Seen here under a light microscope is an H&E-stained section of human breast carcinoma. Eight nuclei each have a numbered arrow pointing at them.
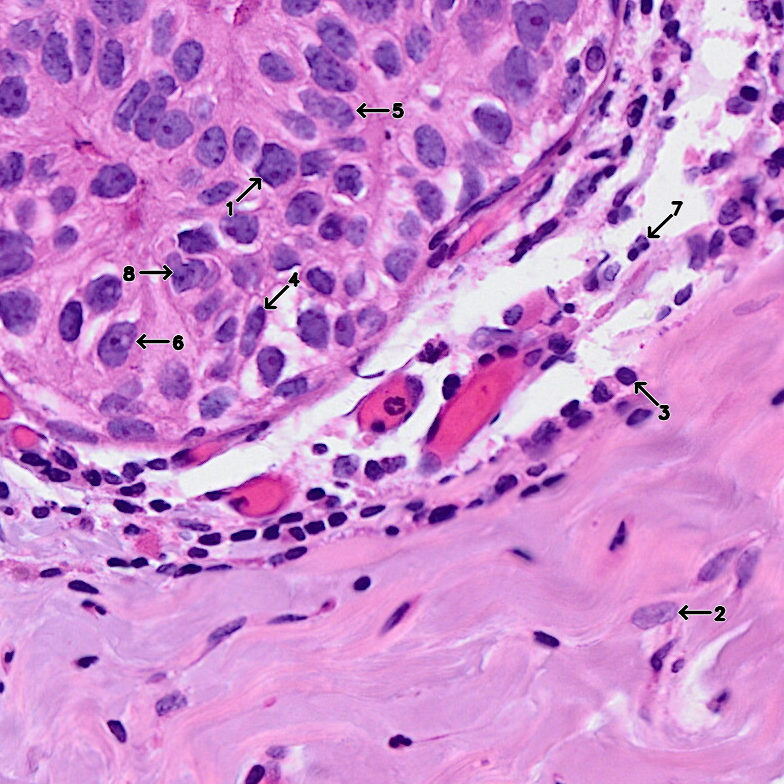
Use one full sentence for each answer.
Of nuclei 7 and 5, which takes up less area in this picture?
The smaller nucleus is 7, and 5 covers roughly 1.5 times its area.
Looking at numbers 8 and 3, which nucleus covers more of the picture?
Nucleus 8 is larger, with an area about 3 times that of nucleus 3.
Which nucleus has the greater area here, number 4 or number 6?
The larger nucleus is 6, at roughly 2.5 times the area of 4.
